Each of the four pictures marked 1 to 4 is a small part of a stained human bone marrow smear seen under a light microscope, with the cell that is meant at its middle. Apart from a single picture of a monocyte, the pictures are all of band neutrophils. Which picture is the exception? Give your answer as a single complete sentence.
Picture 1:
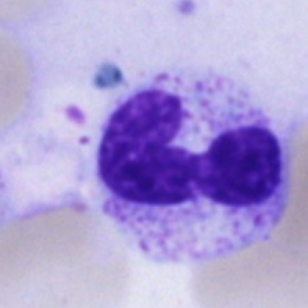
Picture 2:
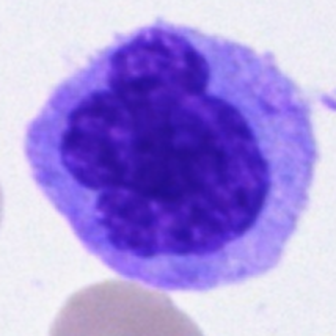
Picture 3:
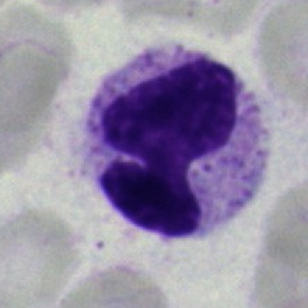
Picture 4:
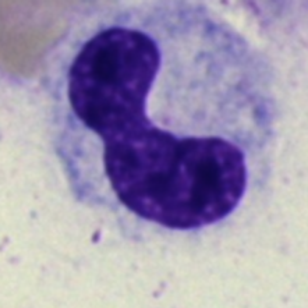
The monocyte is the one in picture 2.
